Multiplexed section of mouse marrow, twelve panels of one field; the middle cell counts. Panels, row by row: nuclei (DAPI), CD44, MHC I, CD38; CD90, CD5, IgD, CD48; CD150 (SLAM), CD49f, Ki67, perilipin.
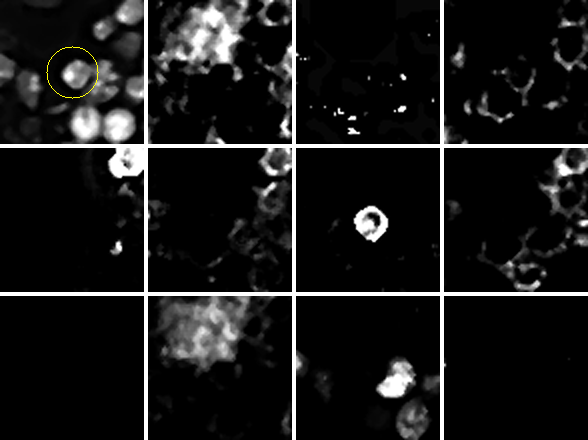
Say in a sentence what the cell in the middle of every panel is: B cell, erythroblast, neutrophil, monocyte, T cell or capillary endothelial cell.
This is a B cell.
